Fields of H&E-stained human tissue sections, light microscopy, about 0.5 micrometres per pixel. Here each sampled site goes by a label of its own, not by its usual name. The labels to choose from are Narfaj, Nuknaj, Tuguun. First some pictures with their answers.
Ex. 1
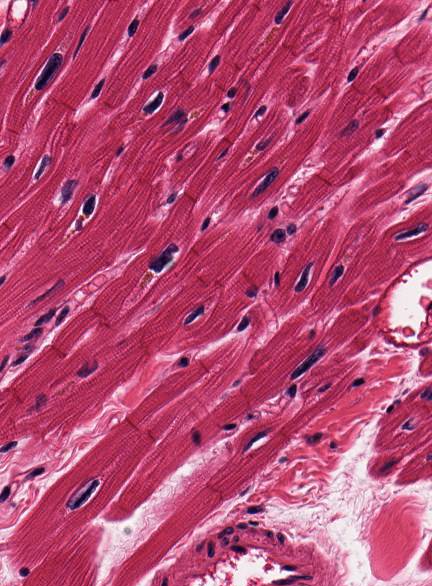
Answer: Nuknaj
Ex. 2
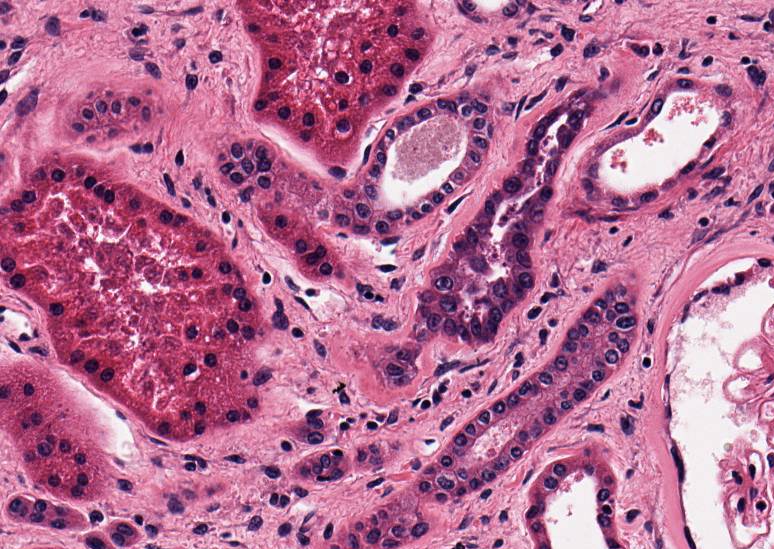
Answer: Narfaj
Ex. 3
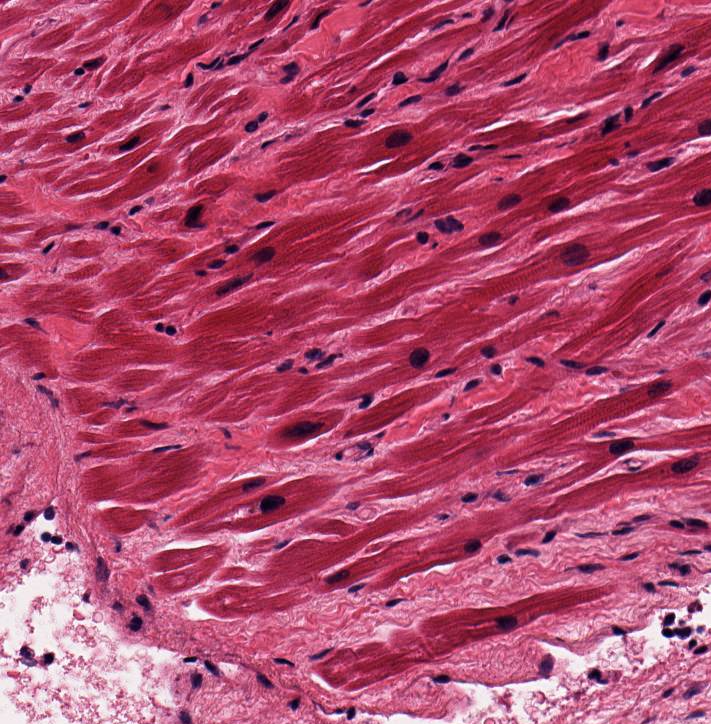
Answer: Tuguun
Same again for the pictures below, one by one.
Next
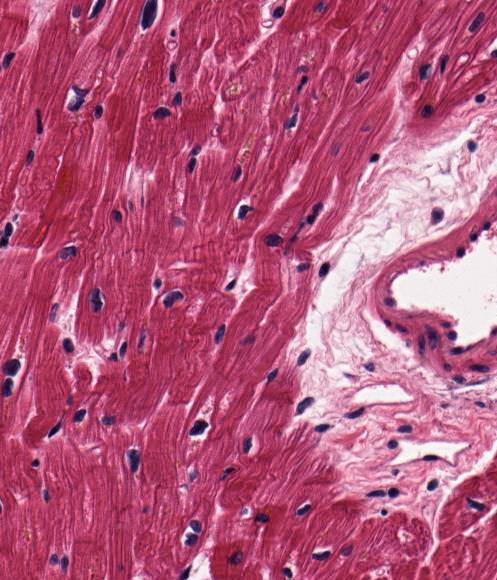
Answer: Nuknaj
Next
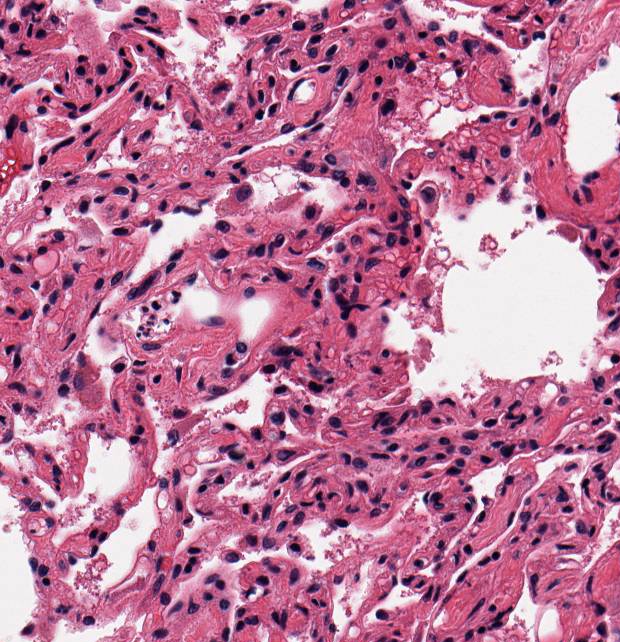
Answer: Tuguun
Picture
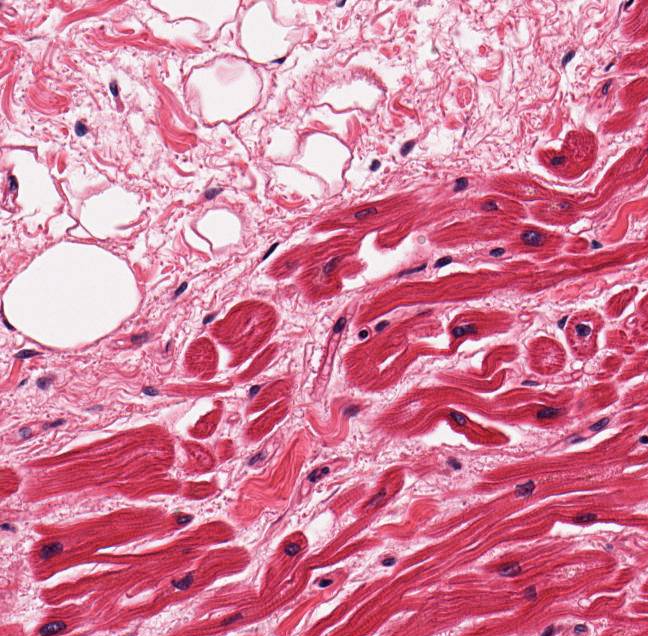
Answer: Tuguun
